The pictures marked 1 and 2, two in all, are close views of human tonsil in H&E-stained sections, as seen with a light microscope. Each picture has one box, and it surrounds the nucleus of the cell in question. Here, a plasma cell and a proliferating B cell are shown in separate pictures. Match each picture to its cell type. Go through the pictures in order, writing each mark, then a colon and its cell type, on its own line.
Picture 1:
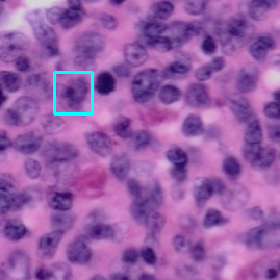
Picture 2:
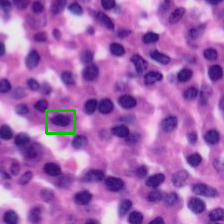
1: proliferating B cell
2: plasma cell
